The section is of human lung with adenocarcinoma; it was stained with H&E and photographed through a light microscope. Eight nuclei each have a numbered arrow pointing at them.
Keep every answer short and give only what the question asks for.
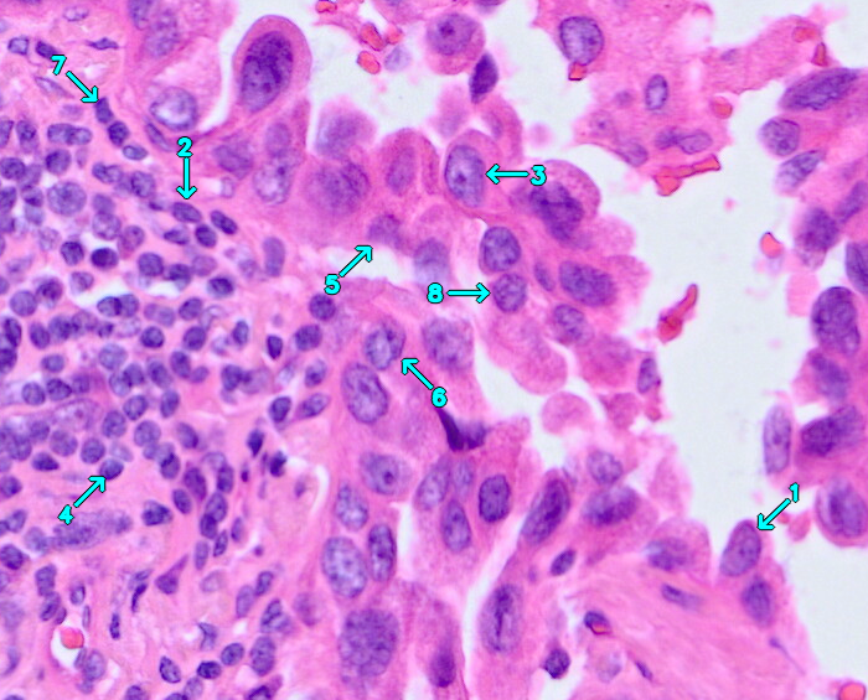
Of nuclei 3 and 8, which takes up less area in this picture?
8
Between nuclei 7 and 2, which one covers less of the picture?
7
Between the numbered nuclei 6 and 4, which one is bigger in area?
6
